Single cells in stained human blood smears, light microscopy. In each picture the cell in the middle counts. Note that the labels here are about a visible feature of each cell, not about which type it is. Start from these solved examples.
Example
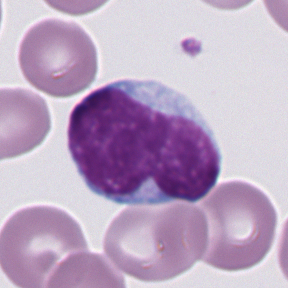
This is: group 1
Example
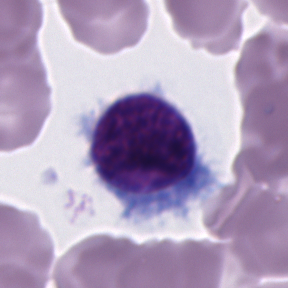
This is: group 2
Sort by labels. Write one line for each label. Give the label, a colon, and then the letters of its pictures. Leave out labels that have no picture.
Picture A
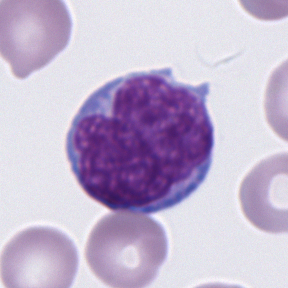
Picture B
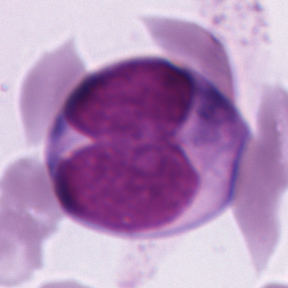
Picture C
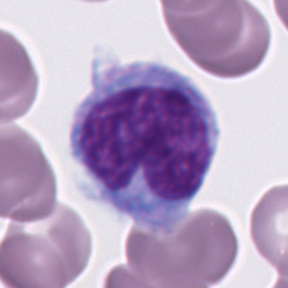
group 1: A, B
group 2: C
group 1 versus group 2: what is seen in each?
group 1: lobed nucleus; group 2: single compact nucleus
